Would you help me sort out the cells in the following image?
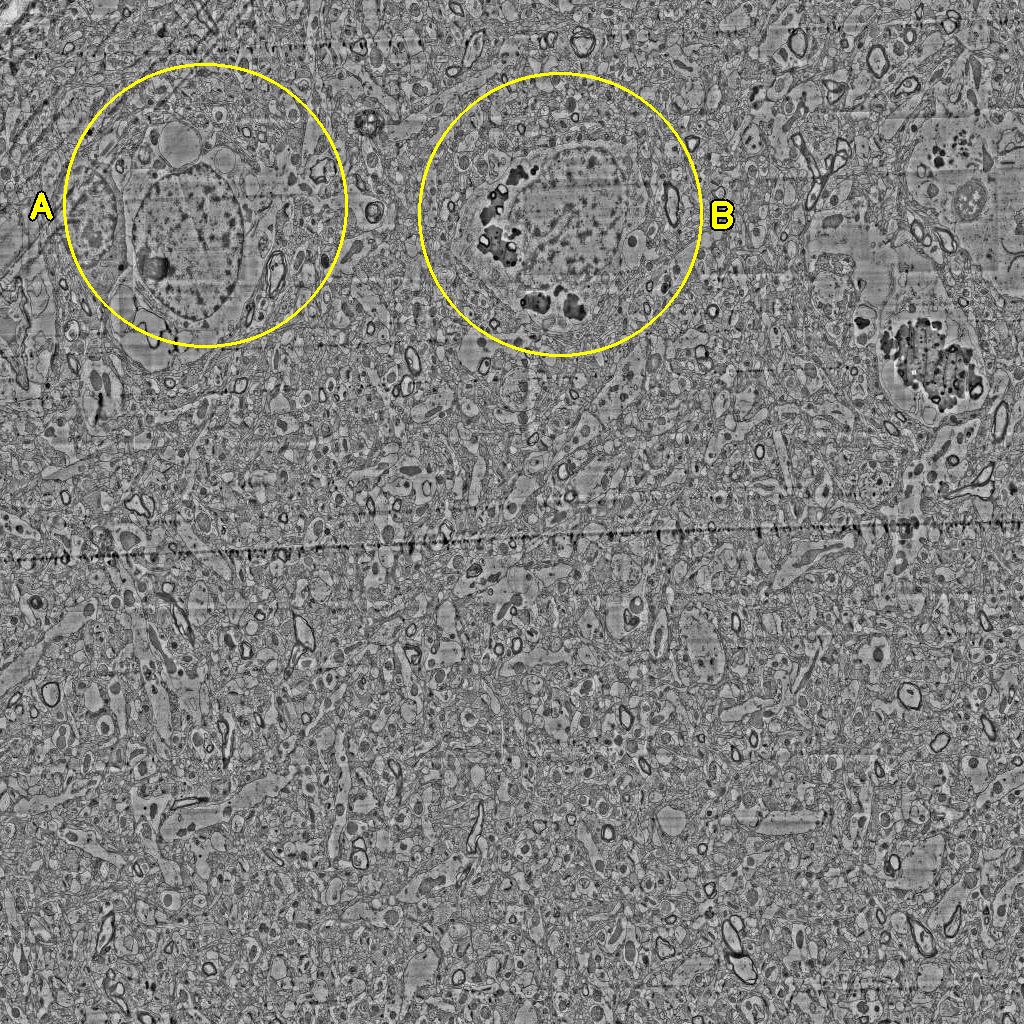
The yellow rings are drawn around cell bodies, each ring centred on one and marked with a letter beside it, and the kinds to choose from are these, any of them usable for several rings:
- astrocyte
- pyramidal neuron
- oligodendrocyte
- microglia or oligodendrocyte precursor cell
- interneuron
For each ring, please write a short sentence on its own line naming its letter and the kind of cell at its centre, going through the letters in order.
Ring A is centred on the cell body of an astrocyte.
Ring B is centred on the cell body of an interneuron.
